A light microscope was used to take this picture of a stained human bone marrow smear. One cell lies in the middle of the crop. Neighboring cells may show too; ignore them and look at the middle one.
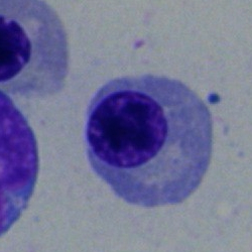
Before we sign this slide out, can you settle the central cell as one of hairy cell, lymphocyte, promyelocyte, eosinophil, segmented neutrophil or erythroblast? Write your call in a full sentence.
Where the crop is centred, there is an erythroblast.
